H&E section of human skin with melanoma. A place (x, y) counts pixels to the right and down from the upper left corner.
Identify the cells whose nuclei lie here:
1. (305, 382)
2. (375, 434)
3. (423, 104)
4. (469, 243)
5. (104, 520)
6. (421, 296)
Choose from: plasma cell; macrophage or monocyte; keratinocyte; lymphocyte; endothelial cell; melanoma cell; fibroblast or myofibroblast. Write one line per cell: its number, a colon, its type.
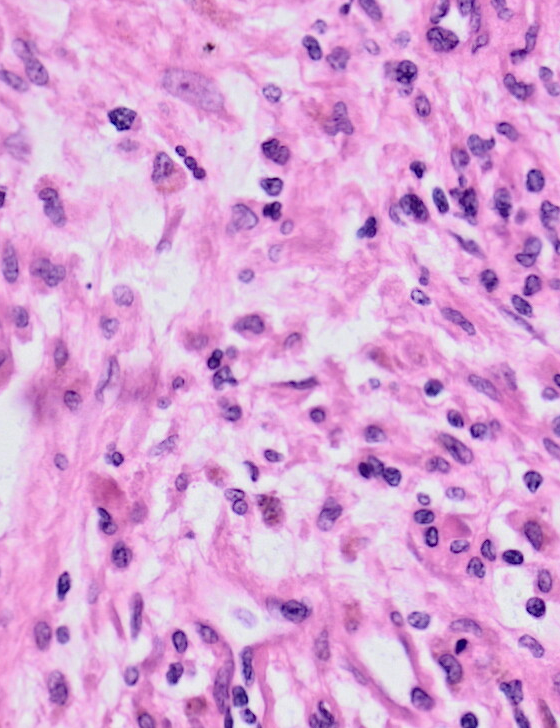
1: fibroblast or myofibroblast
2: macrophage or monocyte
3: macrophage or monocyte
4: fibroblast or myofibroblast
5: macrophage or monocyte
6: lymphocyte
